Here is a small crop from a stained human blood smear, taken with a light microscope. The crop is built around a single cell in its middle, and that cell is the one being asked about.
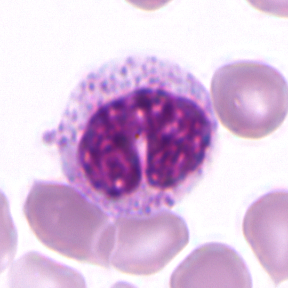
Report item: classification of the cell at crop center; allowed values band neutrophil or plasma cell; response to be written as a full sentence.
The cell featured at the centre of this crop is a band neutrophil.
